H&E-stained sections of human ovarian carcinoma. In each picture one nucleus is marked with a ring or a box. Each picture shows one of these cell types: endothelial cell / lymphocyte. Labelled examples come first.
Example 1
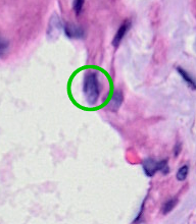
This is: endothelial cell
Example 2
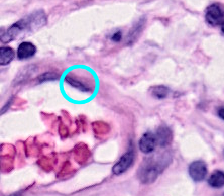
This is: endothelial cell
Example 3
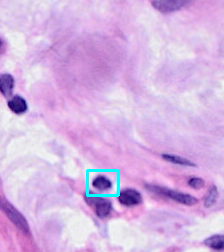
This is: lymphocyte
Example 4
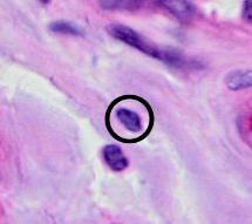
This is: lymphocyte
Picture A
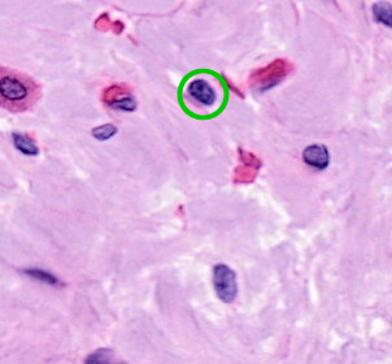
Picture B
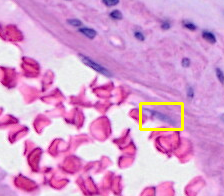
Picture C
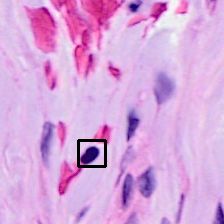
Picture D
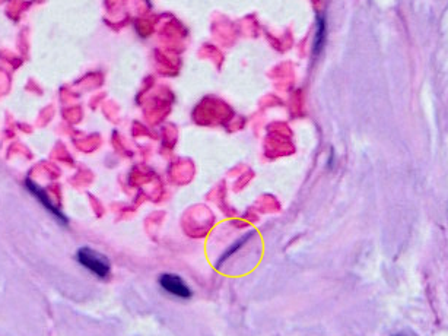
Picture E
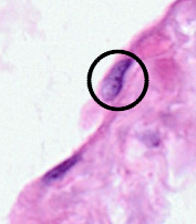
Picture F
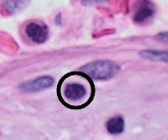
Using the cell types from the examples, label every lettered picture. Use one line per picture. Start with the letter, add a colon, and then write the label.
A: lymphocyte
B: endothelial cell
C: lymphocyte
D: endothelial cell
E: endothelial cell
F: lymphocyte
